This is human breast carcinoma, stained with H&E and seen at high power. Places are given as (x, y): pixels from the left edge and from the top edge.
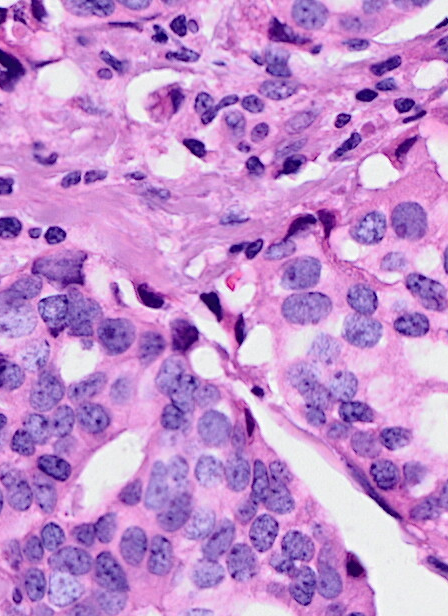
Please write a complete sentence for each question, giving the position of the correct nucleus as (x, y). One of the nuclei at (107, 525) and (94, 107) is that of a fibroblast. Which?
The nucleus belonging to a fibroblast is the one at (94, 107).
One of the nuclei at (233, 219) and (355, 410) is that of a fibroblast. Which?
Of the two nuclei, that at (233, 219) is the nucleus of a fibroblast.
